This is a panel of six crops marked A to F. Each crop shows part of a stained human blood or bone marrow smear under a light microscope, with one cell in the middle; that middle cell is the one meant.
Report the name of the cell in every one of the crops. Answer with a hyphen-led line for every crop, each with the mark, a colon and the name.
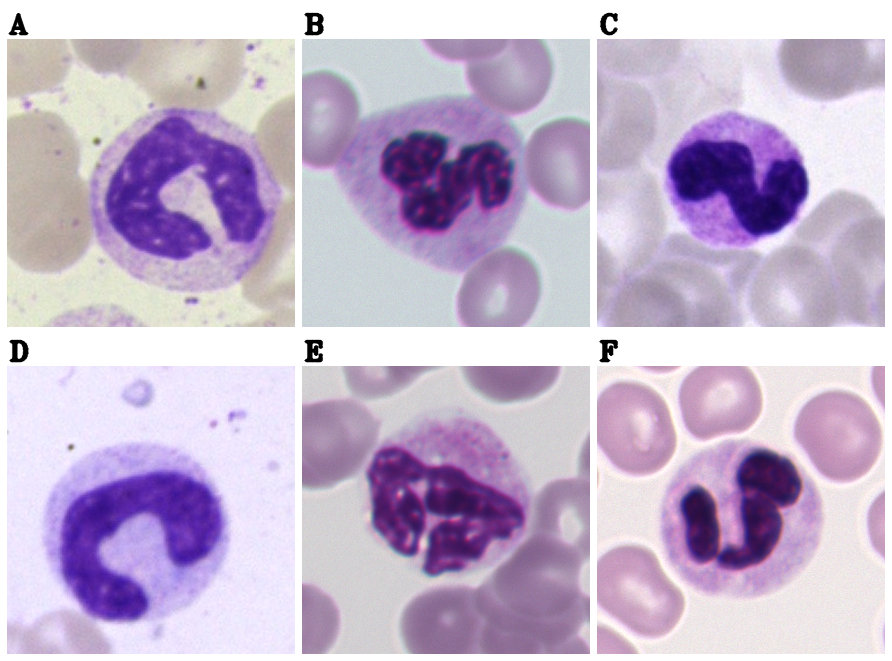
- A: band neutrophil
- B: segmented neutrophil
- C: band neutrophil
- D: band neutrophil
- E: segmented neutrophil
- F: segmented neutrophil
